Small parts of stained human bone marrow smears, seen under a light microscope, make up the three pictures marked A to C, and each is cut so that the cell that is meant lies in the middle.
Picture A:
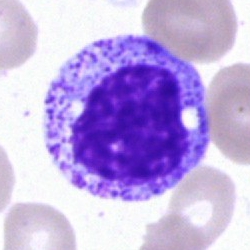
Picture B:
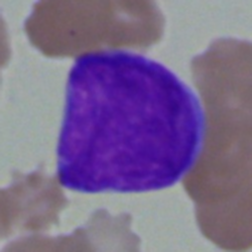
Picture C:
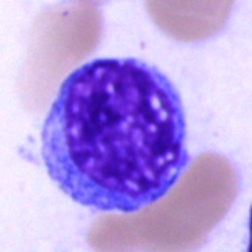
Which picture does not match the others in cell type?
A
